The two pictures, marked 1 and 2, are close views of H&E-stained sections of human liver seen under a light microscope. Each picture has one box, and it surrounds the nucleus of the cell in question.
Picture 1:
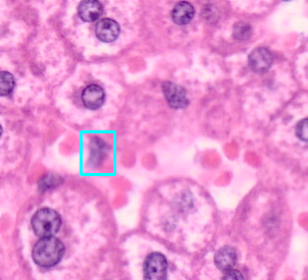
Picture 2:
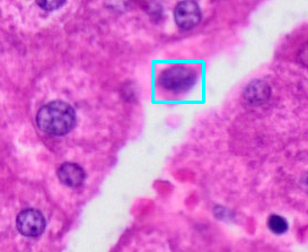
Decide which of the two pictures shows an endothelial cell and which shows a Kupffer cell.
1: endothelial cell
2: Kupffer cell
